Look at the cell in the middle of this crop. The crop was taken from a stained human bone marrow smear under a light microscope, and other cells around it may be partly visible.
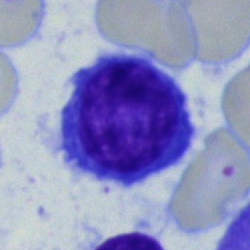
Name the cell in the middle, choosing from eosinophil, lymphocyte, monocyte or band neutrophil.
lymphocyte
